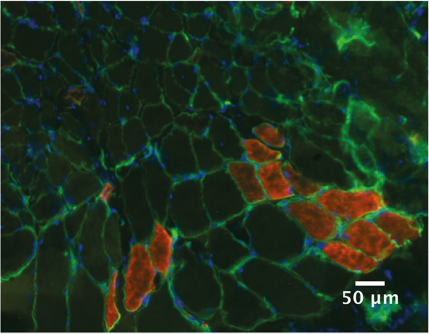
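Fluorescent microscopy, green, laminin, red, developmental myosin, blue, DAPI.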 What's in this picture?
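This is a cross-section of skeletal muscle in which each fiber is outlined by a thin green border around its surface. The fibers elsewhere vary in size and shape, and many blue nuclei lie scattered in the spaces between them.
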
